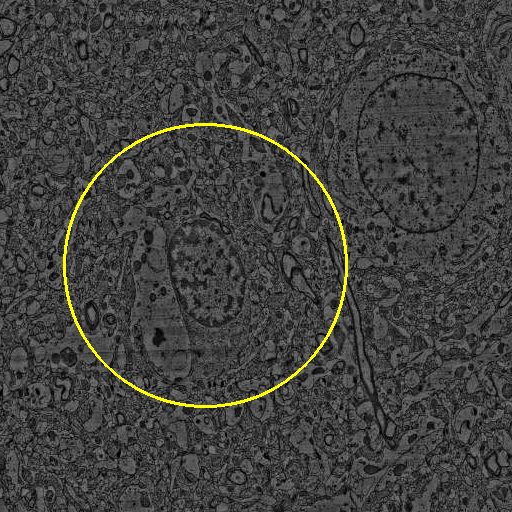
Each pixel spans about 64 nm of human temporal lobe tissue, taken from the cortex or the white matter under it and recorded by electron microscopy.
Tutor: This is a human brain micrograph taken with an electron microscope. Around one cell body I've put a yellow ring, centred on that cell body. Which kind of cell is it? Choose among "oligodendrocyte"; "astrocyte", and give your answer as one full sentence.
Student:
Going by your list, the cell centred in the yellow ring is an oligodendrocyte.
